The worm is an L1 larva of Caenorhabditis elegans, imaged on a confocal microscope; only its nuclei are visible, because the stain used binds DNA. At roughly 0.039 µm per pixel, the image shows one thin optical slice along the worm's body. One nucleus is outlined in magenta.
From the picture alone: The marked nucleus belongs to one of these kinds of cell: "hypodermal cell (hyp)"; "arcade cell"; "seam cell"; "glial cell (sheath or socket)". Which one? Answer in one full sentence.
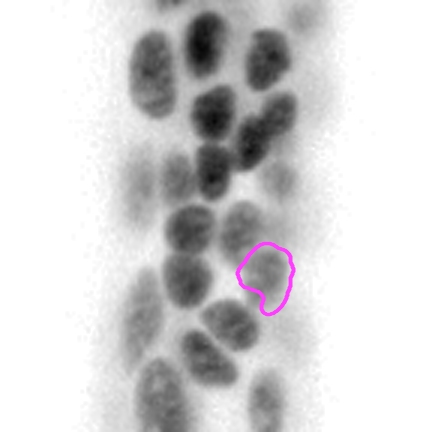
What is marked is the nucleus of an arcade cell.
